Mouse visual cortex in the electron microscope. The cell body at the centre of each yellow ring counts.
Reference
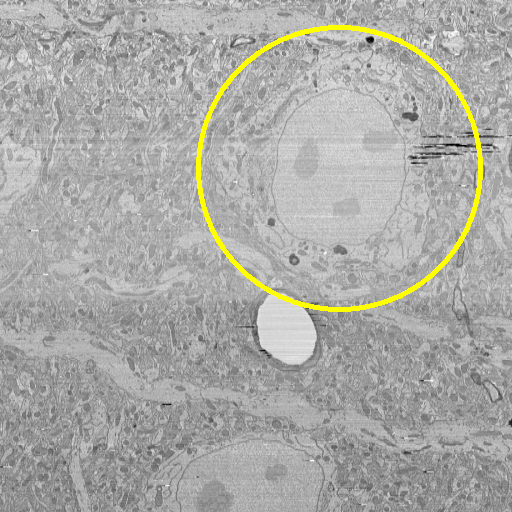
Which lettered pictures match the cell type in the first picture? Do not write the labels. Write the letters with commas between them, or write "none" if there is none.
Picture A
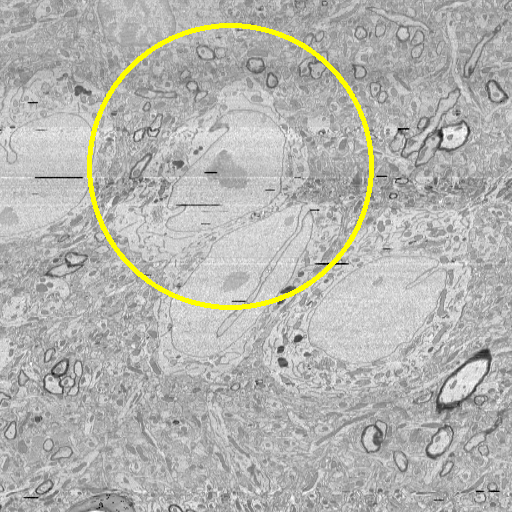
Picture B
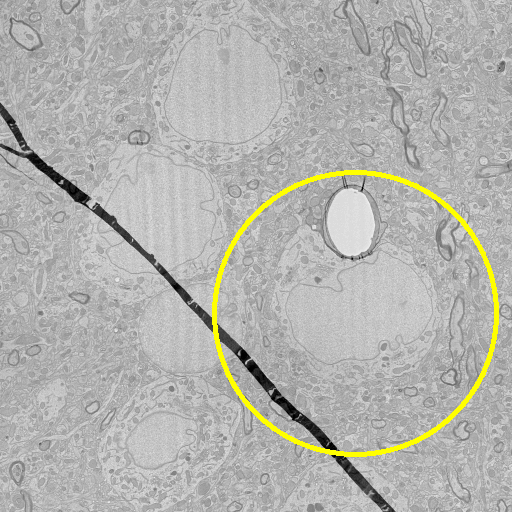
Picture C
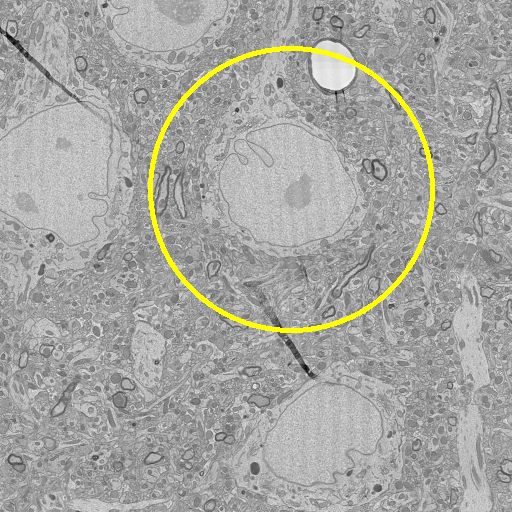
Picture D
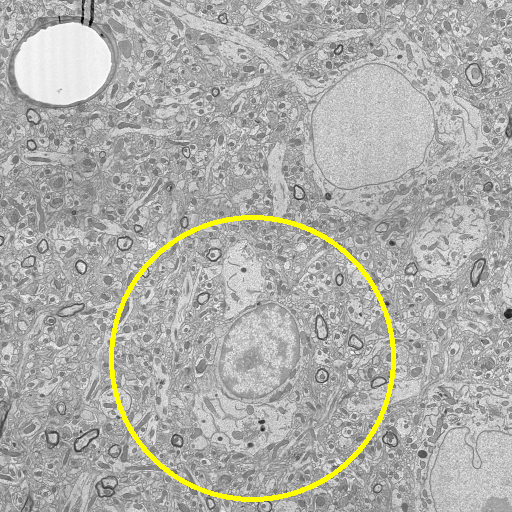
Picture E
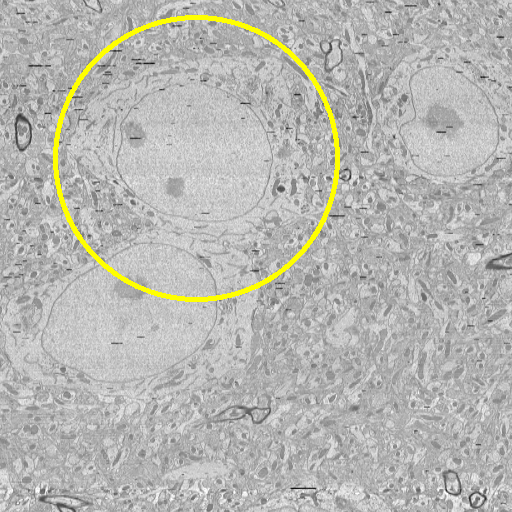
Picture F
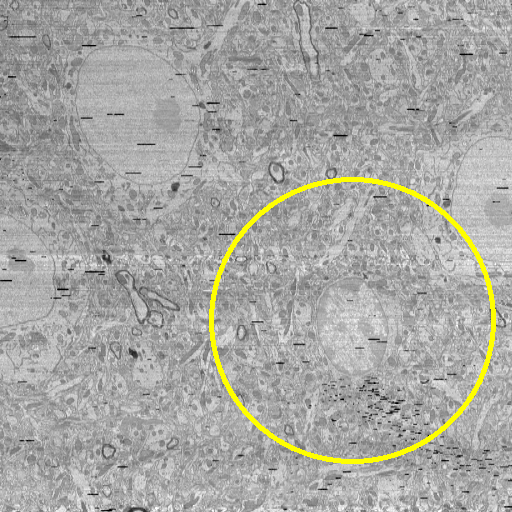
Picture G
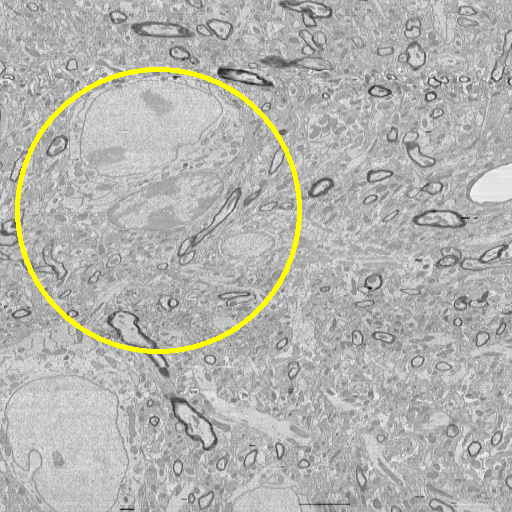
A, B, C, E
